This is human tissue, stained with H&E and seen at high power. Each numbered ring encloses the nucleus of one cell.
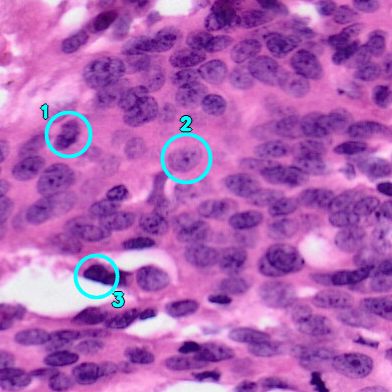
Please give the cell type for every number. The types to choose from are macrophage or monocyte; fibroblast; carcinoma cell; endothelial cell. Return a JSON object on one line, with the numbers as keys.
{"1": "macrophage or monocyte", "2": "carcinoma cell", "3": "carcinoma cell"}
